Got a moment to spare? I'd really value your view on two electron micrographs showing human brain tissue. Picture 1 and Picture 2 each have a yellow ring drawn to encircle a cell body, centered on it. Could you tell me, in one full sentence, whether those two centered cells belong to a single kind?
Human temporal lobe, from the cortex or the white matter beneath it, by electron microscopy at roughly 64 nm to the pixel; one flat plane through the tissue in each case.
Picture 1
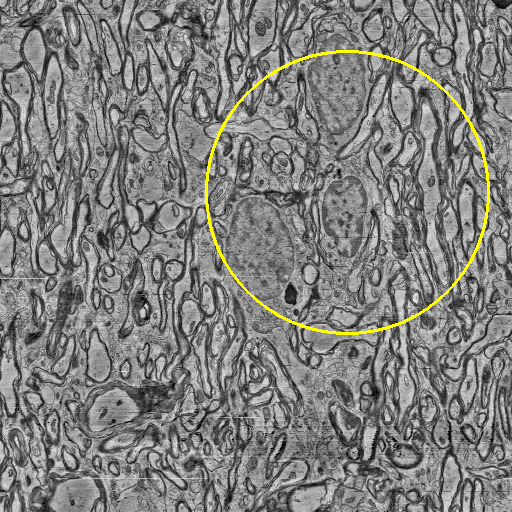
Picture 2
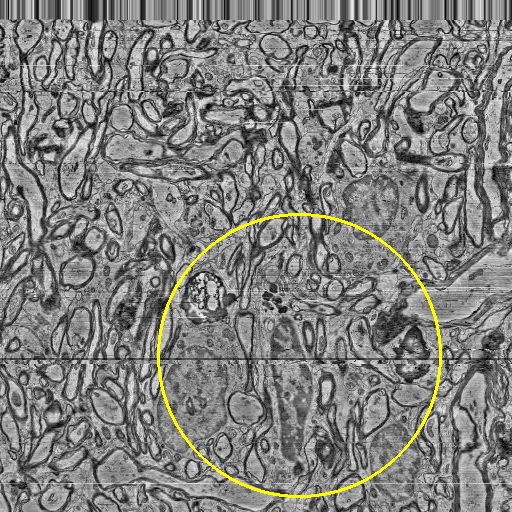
Yes, the two centered cells in Picture 1 and Picture 2 are of a single kind.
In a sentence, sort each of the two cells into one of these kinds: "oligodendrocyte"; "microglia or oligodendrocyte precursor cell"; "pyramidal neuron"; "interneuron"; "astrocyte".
Both rings mark a microglial cell or oligodendrocyte precursor cell, one in each picture.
